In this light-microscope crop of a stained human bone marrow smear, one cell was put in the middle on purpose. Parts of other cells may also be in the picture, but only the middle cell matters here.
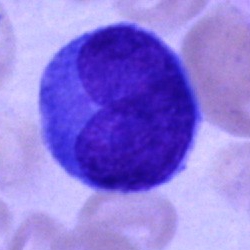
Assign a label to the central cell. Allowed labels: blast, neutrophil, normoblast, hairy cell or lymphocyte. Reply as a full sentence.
Where the crop is centred, there is a blast.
